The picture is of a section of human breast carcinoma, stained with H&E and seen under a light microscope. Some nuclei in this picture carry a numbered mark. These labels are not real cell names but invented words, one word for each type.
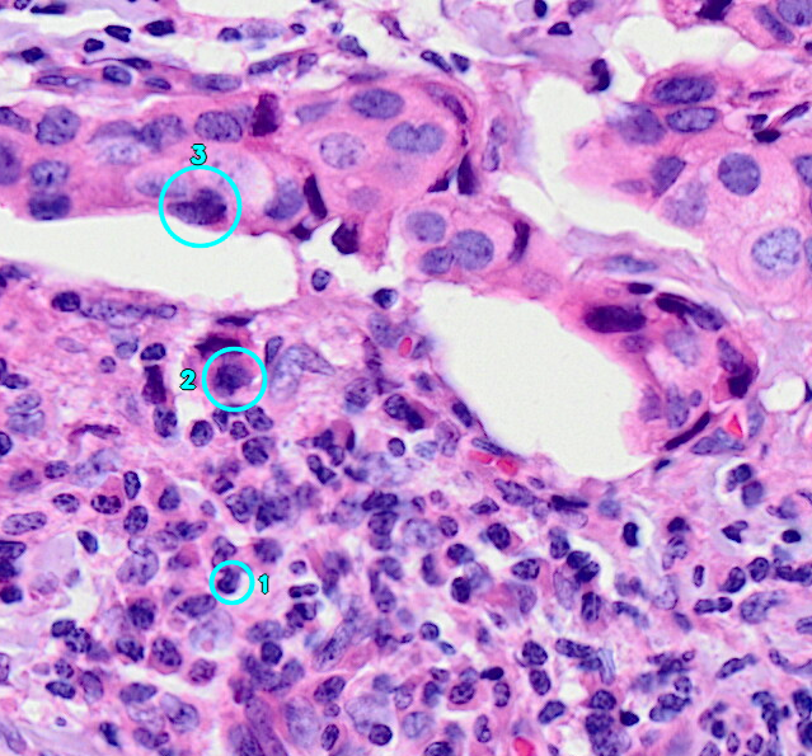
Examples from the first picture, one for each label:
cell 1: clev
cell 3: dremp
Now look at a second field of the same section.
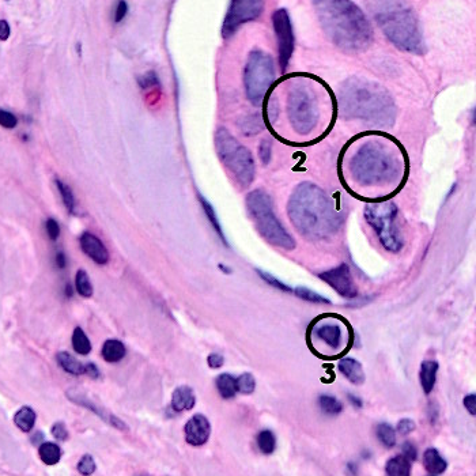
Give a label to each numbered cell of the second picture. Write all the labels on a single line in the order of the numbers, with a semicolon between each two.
dremp; dremp; clev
